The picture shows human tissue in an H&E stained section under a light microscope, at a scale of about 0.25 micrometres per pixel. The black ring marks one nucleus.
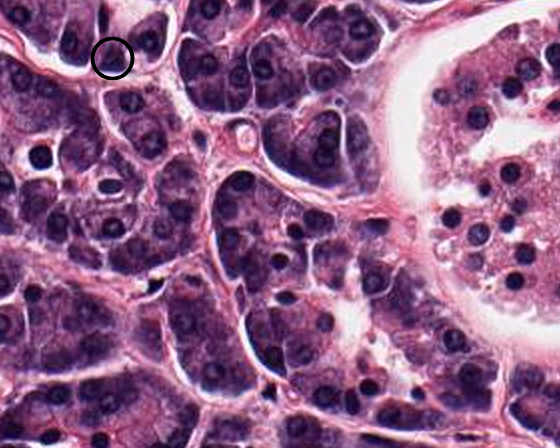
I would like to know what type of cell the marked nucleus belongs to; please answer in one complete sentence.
Part of a pancreatic acinar cell is the marked nucleus.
